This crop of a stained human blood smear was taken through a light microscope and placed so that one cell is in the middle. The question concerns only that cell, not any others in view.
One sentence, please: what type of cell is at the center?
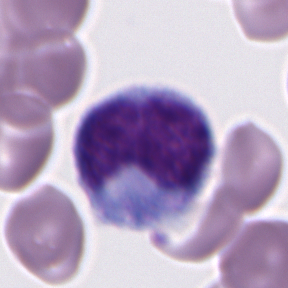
This crop has a monocyte at its centre.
